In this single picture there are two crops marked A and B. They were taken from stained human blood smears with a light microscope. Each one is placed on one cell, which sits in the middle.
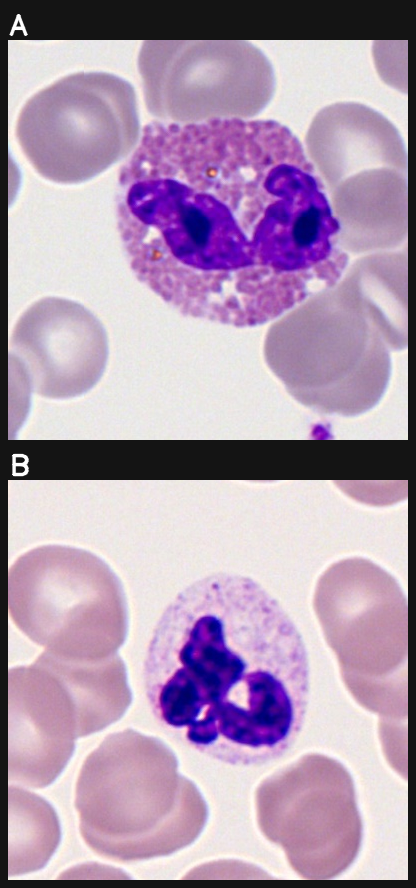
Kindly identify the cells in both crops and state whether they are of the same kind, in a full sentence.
No, crop A matches an eosinophil and crop B matches a neutrophil.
